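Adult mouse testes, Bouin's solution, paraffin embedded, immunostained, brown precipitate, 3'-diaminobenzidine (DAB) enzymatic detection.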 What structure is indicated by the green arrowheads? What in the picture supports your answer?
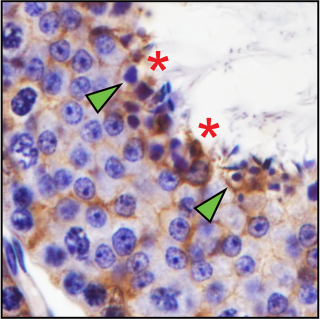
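Arrowheads point to small dense dark bodies near the lumen. Brown stain surrounds these bodies.
Hence: residual bodies/phagosomes.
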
